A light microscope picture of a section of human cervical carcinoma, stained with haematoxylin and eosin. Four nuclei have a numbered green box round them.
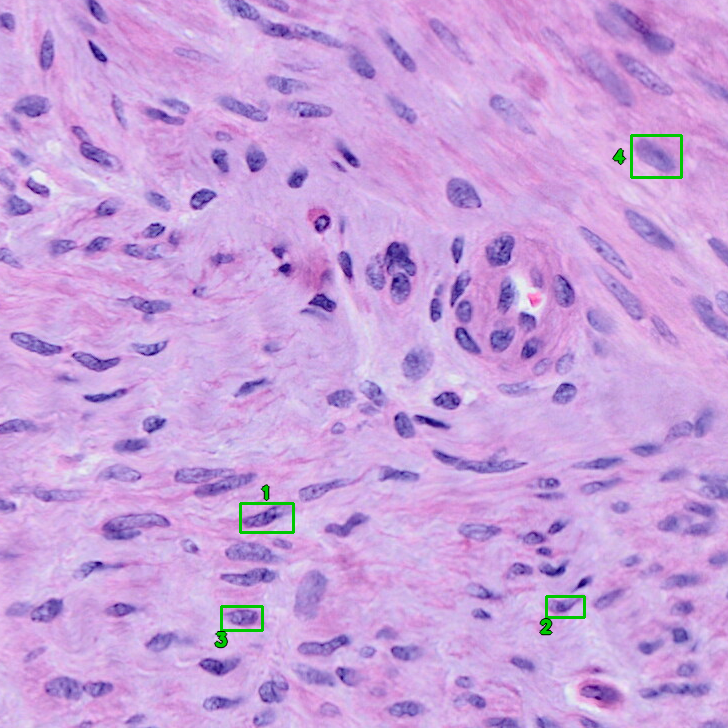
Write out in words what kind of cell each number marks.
Cells 1, 2 and 3 are smooth muscle cells. Cell 4 is a fibroblast.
